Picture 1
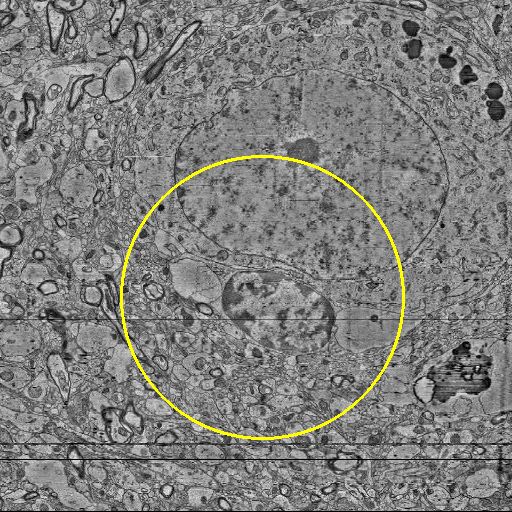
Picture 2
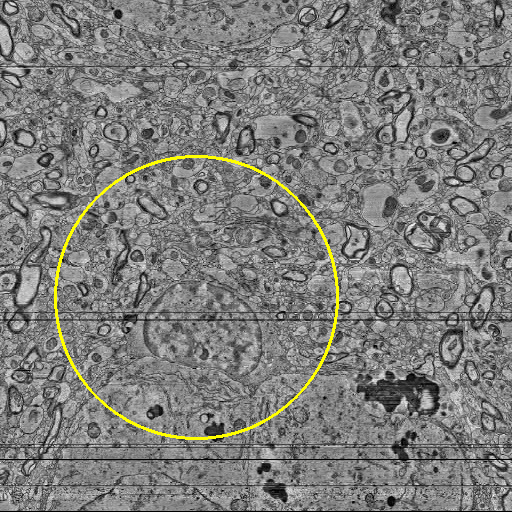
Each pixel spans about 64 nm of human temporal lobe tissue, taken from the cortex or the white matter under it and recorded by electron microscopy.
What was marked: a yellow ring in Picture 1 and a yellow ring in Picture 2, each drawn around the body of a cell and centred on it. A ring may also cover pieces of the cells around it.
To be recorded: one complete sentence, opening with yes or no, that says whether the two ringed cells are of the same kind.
No, the two ringed cells are of two kinds.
